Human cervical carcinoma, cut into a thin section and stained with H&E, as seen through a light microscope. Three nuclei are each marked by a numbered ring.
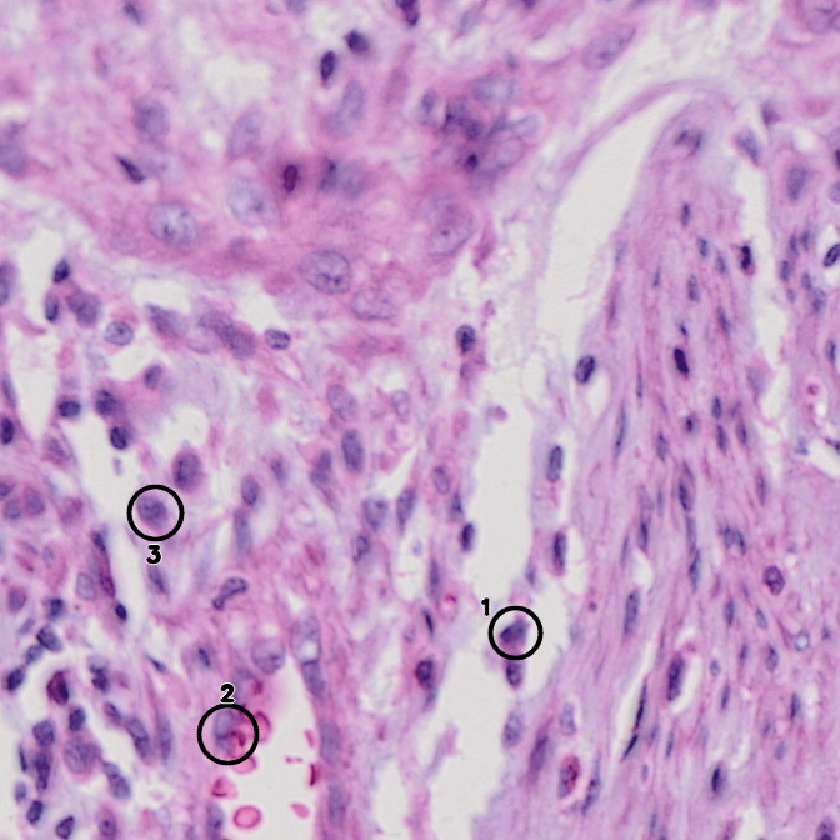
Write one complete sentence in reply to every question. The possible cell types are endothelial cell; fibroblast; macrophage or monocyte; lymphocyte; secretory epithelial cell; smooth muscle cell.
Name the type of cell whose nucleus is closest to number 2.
The cell nearest to number 2 is an endothelial cell.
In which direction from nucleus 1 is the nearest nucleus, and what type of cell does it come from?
Lying below nucleus 1, the nearest nucleus is that of a macrophage or monocyte.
